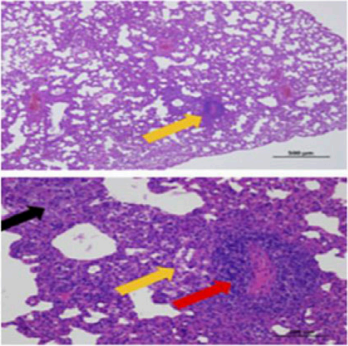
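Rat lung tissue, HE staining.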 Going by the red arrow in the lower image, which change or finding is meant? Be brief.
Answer: perivascular inflammatory cells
